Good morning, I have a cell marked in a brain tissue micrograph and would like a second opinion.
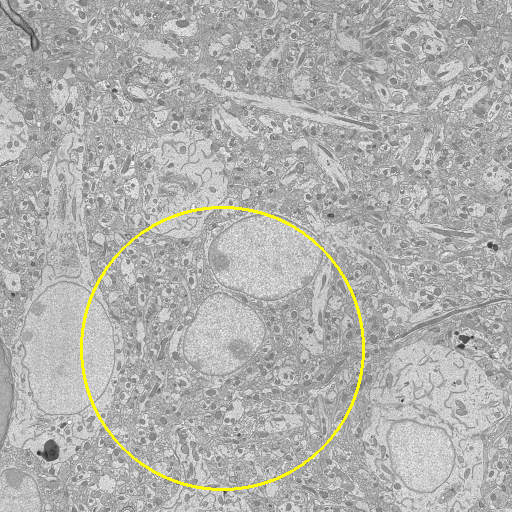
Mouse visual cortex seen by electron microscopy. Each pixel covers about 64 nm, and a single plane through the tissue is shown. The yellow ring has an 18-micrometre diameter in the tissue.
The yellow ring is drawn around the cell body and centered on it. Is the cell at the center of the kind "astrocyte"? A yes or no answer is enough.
yes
